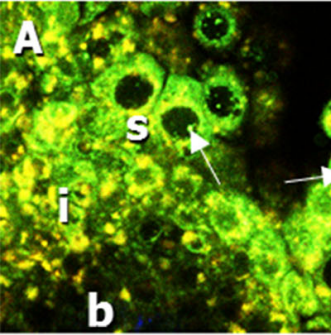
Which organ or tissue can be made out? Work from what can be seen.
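Several layers of tightly packed epithelial cells are seen. Cells have green fluorescent cytoplasm around dark round nuclei. Large rounded cells lie at one edge next to a dark empty space.
Answer: urothelium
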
